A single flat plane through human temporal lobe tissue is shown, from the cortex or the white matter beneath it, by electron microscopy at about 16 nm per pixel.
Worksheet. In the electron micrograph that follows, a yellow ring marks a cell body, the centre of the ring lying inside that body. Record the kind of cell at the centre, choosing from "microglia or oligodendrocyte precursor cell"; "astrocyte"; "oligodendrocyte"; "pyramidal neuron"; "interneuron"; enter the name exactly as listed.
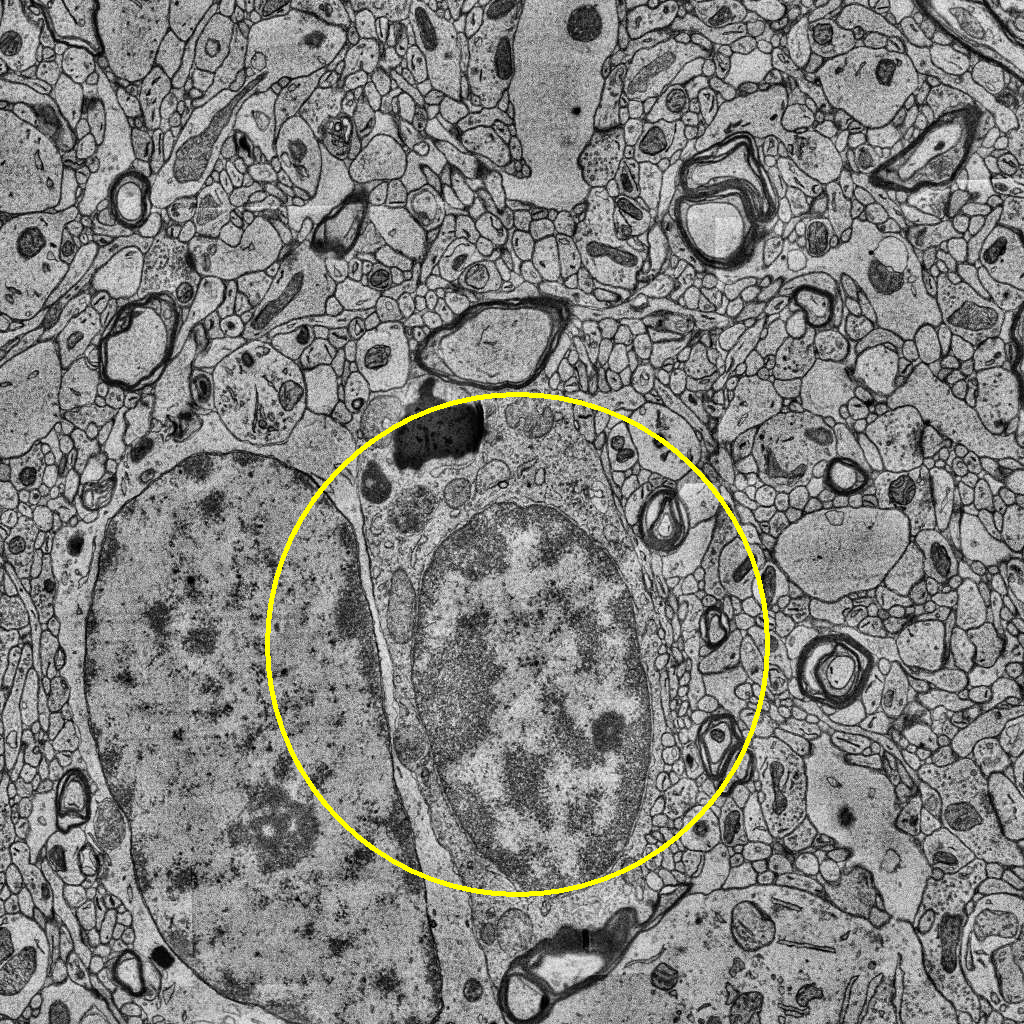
oligodendrocyte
